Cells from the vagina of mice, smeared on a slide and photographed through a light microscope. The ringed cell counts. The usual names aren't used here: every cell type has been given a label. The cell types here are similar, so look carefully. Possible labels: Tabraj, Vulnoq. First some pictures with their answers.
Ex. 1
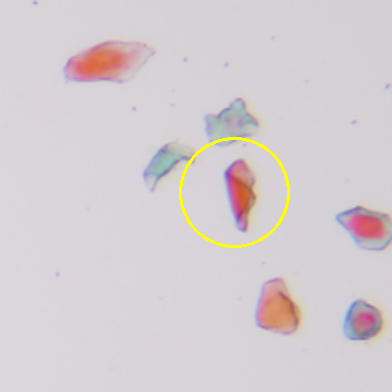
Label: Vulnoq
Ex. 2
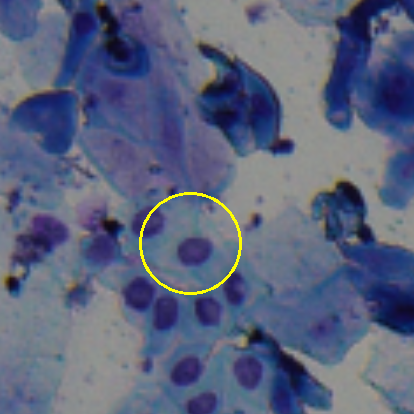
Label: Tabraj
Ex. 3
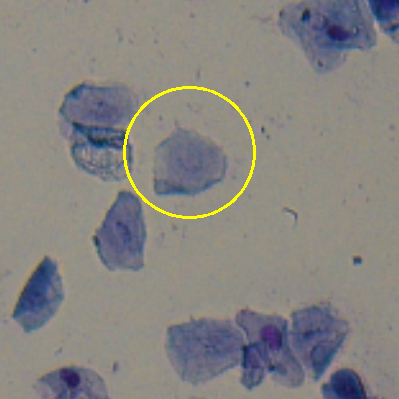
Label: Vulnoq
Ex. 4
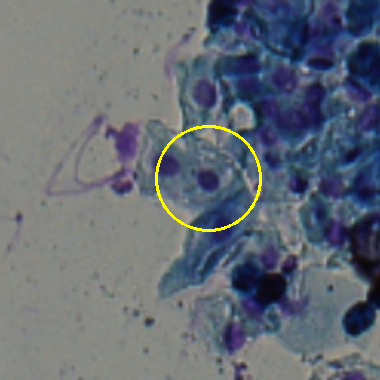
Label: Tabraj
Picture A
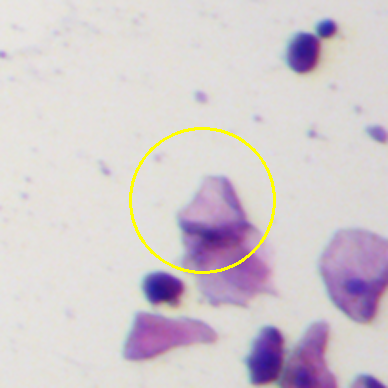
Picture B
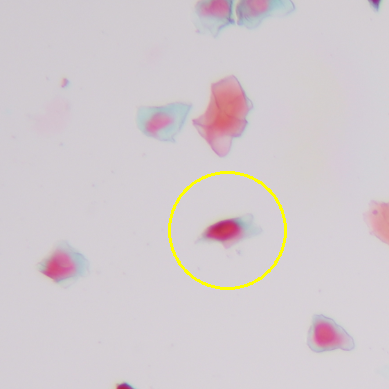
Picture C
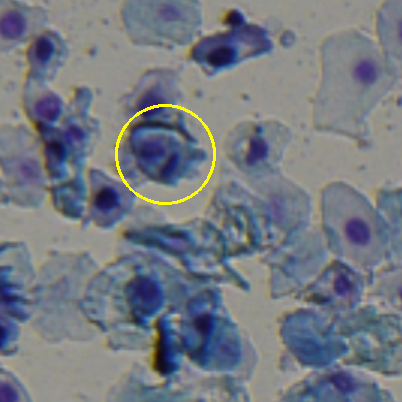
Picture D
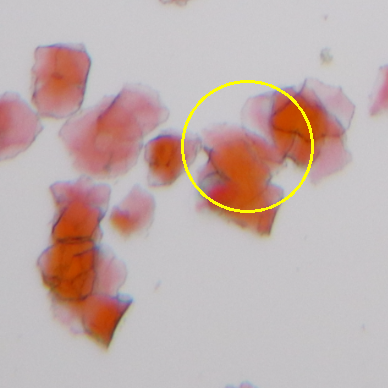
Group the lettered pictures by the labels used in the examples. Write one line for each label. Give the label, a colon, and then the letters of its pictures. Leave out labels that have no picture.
Tabraj: B, C
Vulnoq: A, D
